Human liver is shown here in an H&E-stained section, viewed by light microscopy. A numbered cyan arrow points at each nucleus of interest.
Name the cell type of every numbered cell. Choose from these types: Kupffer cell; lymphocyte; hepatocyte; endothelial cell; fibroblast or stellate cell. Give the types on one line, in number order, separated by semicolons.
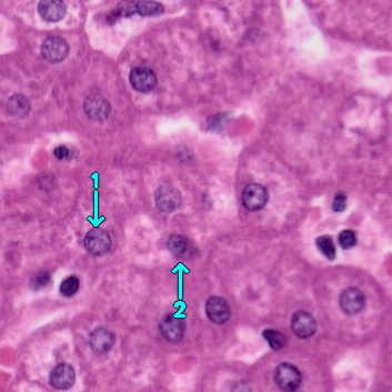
hepatocyte; endothelial cell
